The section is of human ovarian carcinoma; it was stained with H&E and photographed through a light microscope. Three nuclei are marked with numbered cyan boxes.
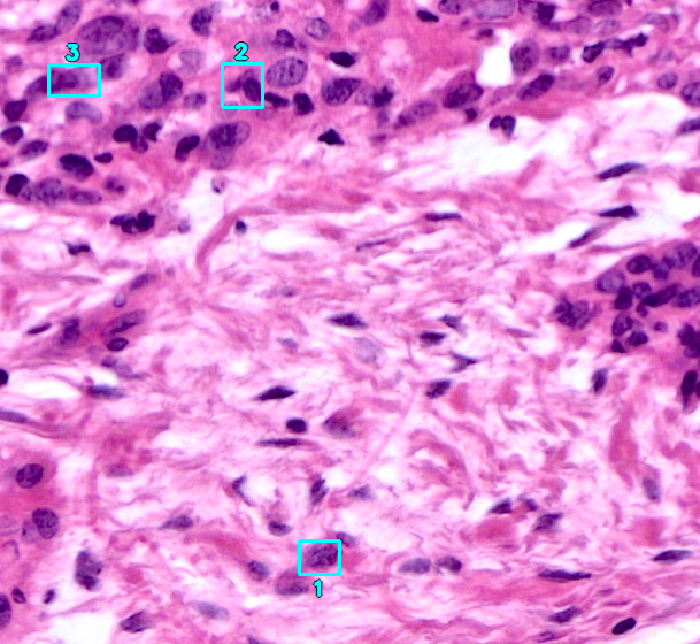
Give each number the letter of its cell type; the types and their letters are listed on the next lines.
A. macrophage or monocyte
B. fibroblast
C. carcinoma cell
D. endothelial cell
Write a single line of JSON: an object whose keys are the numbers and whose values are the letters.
{"1": "D", "2": "C", "3": "C"}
